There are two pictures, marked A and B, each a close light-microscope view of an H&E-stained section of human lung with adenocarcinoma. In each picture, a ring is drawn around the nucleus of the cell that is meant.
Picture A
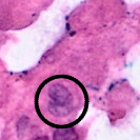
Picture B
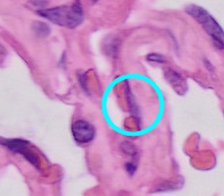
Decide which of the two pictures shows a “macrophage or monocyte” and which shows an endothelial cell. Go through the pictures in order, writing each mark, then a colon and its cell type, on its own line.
A: macrophage or monocyte
B: endothelial cell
